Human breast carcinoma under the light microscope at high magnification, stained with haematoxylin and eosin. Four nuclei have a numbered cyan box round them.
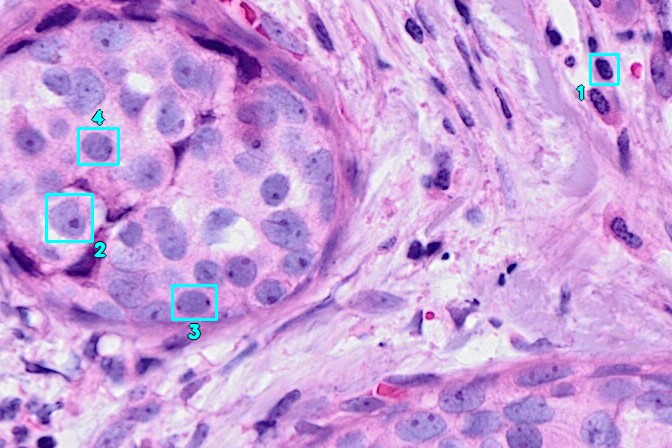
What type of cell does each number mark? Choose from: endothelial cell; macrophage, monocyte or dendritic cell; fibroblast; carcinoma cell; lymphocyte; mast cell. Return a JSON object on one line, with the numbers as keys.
{"1": "lymphocyte", "2": "carcinoma cell", "3": "carcinoma cell", "4": "carcinoma cell"}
